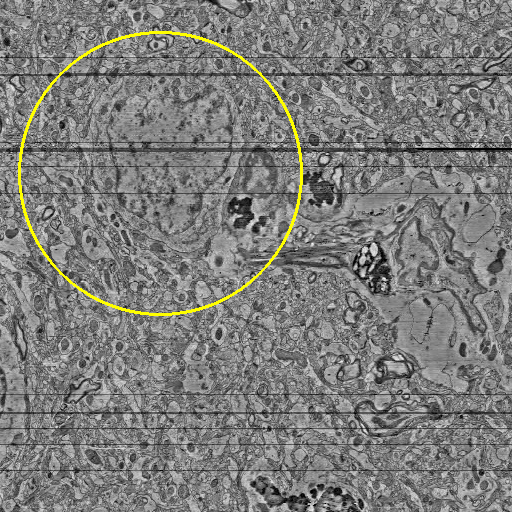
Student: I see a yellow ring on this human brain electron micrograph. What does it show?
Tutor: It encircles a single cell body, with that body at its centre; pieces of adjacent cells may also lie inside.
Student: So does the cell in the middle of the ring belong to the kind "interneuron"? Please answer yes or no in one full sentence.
Yes, the cell in the middle of that yellow ring belongs to this kind.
